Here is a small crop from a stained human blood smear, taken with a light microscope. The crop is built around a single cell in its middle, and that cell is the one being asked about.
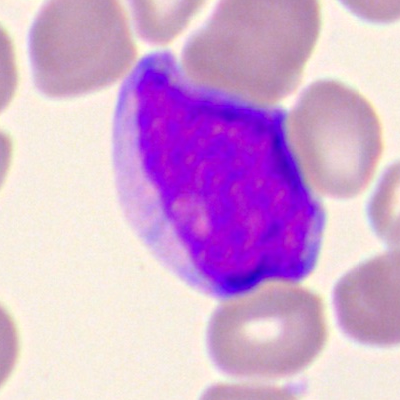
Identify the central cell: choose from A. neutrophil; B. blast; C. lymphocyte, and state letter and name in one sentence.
The correct option, B, names the middle cell as a blast.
